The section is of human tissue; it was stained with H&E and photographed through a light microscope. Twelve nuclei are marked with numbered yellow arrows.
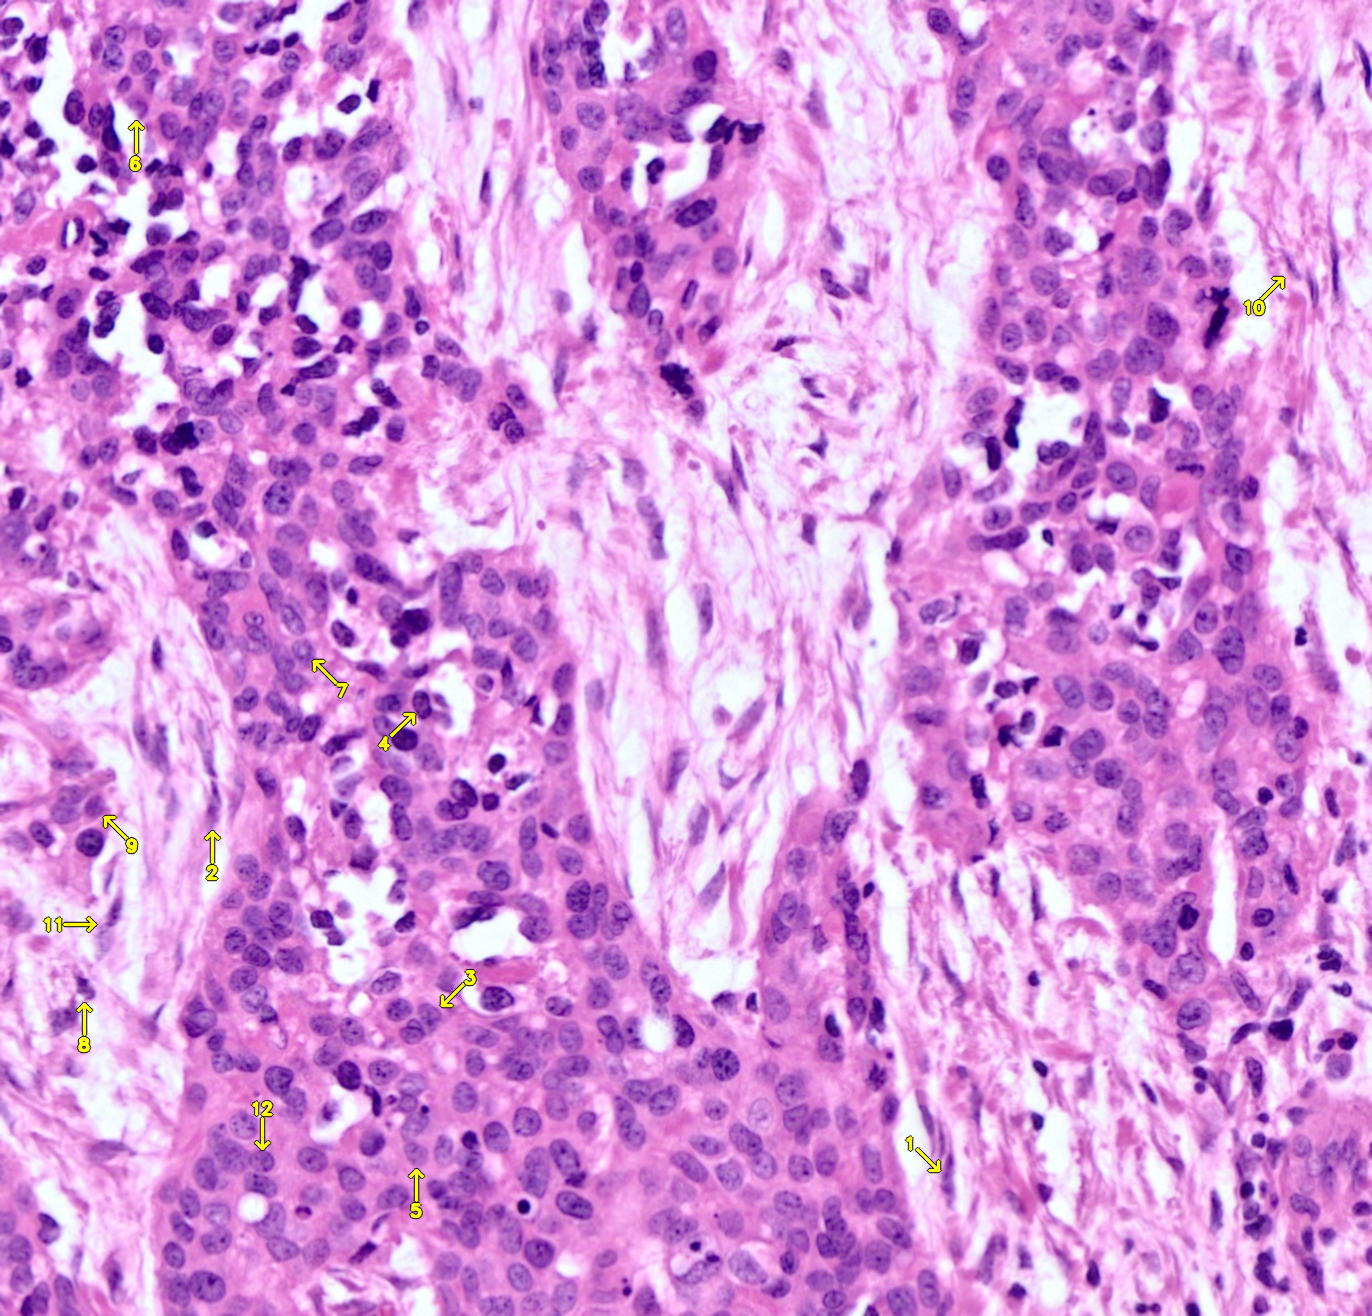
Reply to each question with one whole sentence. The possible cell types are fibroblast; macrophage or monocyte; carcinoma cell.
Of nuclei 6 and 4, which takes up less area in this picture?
With nucleus 4 about 1.5 times its size, nucleus 6 is the smaller of the two.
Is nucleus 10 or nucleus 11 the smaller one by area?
It is nucleus 10; nucleus 11 has about 3 times its area.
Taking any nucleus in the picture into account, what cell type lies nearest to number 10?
The cell nearest to number 10 is a fibroblast.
